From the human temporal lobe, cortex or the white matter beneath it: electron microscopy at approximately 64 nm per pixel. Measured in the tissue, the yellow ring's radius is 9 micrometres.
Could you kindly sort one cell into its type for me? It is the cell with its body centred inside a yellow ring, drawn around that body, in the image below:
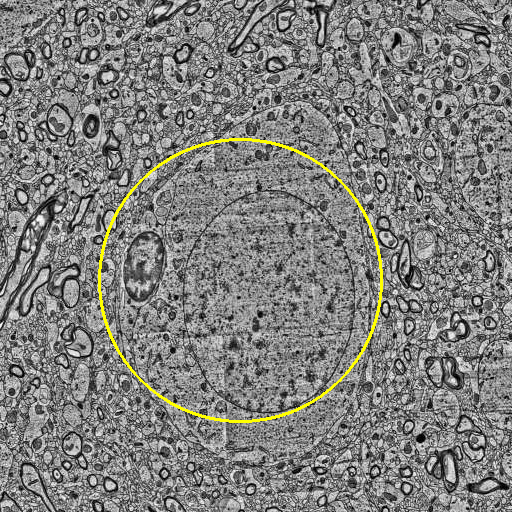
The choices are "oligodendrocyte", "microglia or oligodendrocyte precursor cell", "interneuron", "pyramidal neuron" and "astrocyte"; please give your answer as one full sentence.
The cell whose body lies centred in the yellow ring here is a pyramidal neuron.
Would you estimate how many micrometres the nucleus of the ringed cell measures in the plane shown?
The nucleus has a long axis of about 14 micrometres and a short axis of about 11 micrometres in this plane.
